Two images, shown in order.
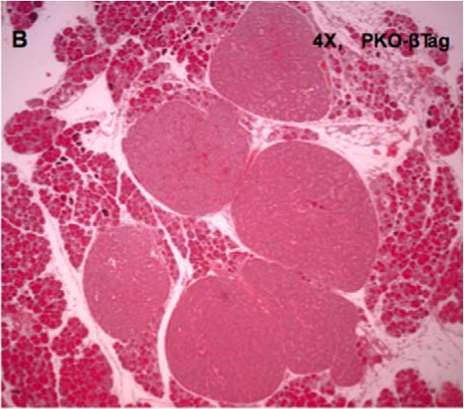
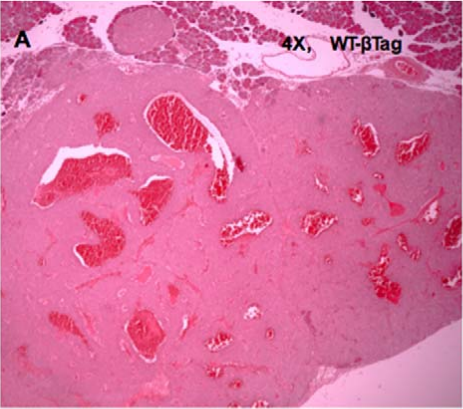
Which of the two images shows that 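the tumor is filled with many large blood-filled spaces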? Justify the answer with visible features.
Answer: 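First image: the pale nodules are solid with almost no red blood-filled spaces. Second image: the large mass contains many wide irregular spaces packed with red blood.
Hence: the second image.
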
